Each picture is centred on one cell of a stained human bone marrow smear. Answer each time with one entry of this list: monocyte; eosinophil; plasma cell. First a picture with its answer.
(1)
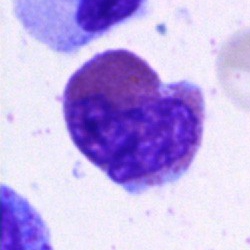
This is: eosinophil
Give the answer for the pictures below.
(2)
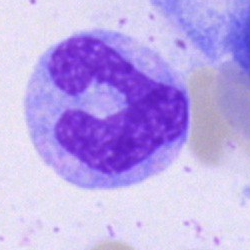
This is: monocyte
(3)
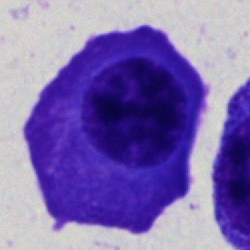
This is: plasma cell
